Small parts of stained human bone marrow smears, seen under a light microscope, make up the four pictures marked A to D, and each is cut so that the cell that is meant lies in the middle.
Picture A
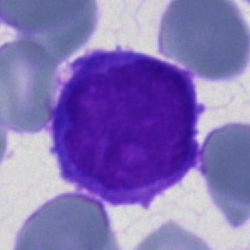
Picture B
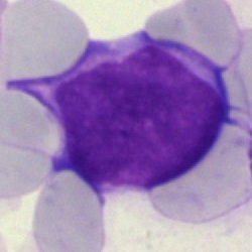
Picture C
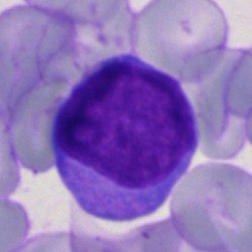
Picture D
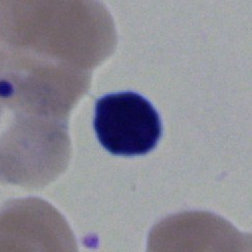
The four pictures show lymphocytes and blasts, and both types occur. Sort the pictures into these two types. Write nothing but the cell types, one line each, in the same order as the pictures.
blast
blast
blast
lymphocyte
